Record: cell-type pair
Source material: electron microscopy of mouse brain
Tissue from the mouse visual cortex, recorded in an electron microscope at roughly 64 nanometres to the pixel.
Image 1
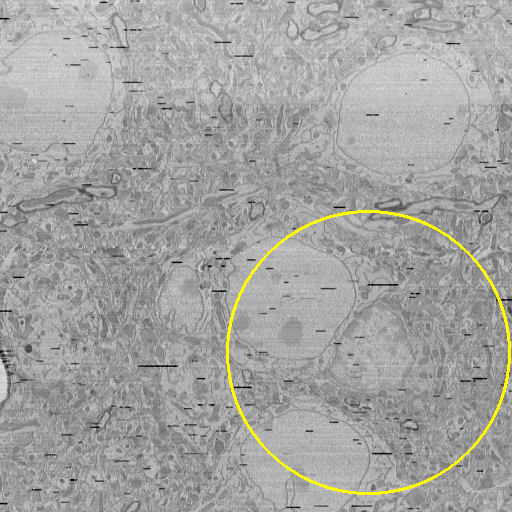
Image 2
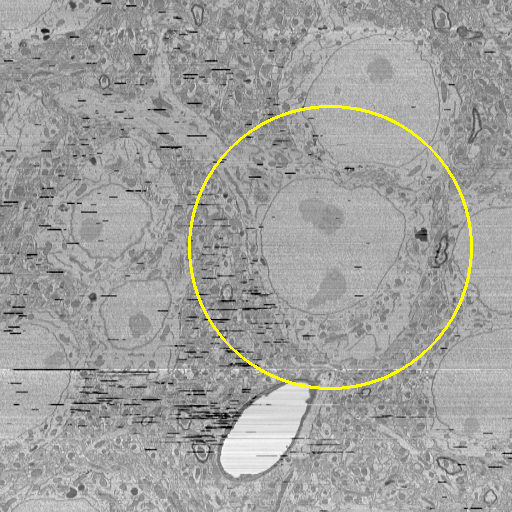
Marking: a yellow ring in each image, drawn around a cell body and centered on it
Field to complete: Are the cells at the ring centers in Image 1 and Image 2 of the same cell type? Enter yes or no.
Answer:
no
